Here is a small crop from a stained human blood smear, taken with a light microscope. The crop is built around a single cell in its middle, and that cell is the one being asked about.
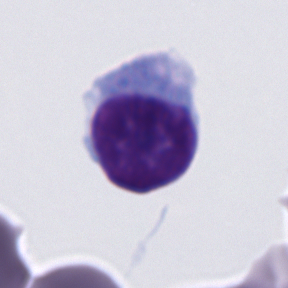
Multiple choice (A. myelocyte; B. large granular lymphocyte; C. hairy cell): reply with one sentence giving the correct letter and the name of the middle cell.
The cell placed in the middle is a hairy cell; option C is correct.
